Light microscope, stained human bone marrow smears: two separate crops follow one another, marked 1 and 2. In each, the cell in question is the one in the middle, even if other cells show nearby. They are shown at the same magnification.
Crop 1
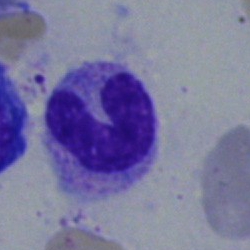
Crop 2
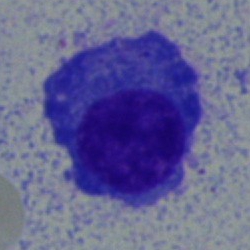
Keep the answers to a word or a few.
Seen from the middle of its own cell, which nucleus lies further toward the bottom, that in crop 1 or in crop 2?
2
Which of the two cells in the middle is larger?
2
